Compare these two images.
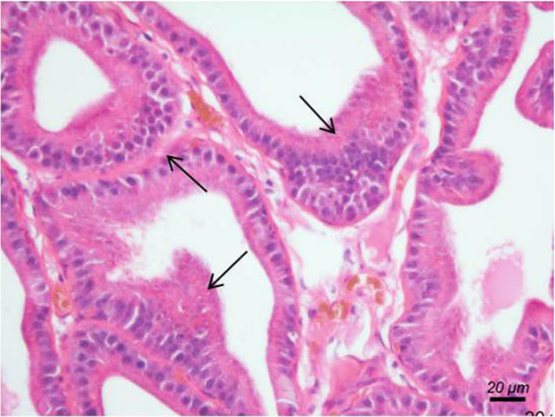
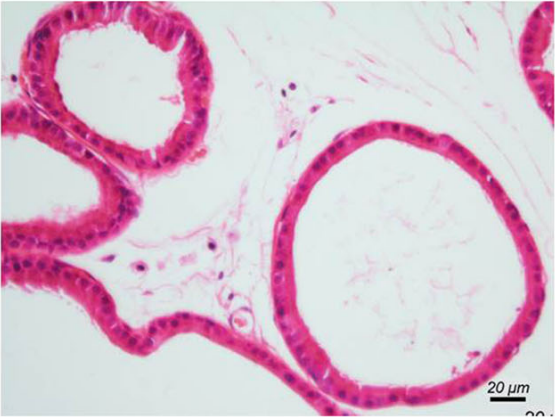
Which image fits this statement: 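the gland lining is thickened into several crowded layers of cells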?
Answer: the first image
